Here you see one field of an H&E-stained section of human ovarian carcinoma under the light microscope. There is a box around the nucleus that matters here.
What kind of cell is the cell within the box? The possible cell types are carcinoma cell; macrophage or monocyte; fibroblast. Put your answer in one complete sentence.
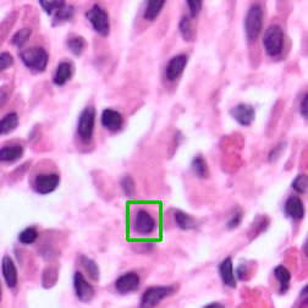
The cell within the box appears to be a fibroblast.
